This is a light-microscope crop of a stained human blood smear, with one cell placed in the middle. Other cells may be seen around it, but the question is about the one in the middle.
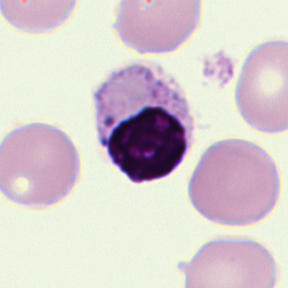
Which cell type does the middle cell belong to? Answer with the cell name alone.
erythroblast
